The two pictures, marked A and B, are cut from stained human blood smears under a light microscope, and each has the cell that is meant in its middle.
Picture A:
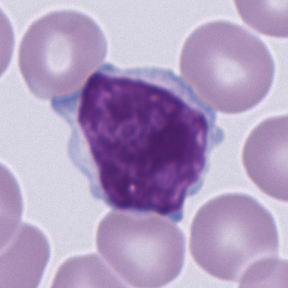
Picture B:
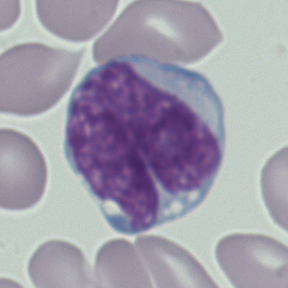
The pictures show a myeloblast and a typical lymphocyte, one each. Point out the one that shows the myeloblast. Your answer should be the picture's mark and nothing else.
B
